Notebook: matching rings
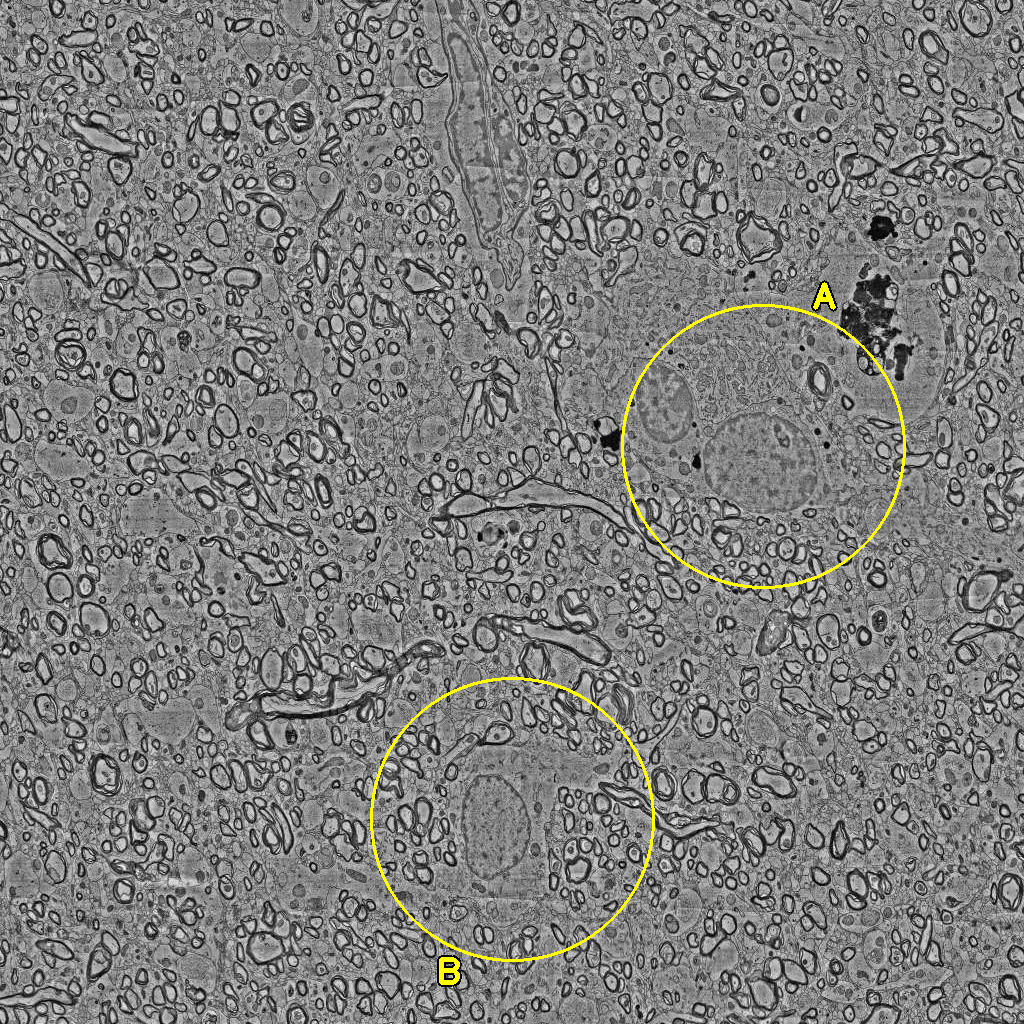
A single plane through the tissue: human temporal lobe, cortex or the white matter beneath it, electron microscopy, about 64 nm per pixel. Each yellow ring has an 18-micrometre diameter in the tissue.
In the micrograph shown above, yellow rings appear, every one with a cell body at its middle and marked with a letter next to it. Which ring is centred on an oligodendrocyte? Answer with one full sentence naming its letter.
A cell of that kind lies at the centre of the ring lettered A.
